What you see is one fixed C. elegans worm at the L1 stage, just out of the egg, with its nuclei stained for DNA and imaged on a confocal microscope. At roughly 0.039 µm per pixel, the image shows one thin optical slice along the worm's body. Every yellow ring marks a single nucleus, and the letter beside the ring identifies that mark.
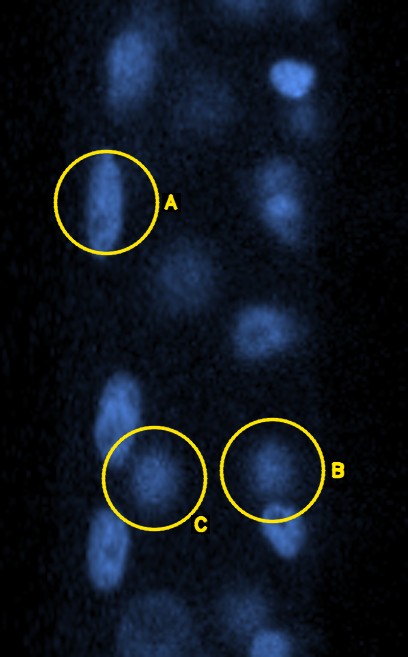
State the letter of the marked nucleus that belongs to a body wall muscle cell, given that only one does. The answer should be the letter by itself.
A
